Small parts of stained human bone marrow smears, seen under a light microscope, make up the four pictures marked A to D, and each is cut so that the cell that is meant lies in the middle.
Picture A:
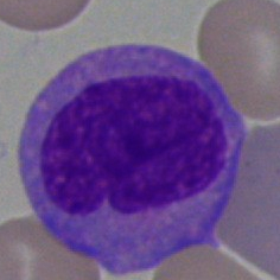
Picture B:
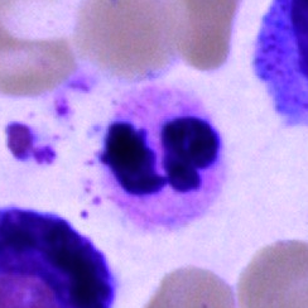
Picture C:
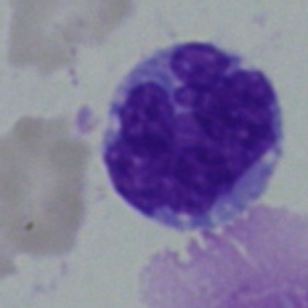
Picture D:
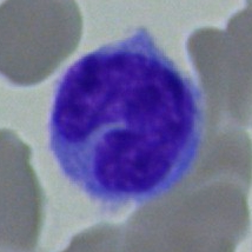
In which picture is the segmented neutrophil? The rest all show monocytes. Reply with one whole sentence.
The picture with the segmented neutrophil is B.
